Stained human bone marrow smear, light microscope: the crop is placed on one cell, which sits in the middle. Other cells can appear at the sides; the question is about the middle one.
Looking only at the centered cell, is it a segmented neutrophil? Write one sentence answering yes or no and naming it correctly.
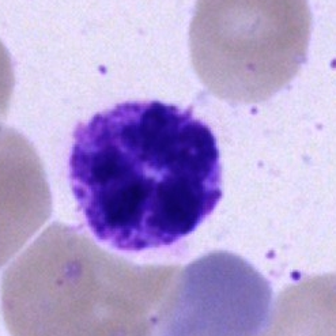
No, it is a basophil and not a segmented neutrophil that occupies the middle of the crop.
